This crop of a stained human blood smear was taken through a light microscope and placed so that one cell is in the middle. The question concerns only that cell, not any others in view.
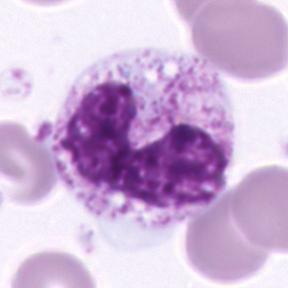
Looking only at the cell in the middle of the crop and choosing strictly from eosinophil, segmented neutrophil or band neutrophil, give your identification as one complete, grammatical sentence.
Among the cells in view, the one in the middle is a band neutrophil.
